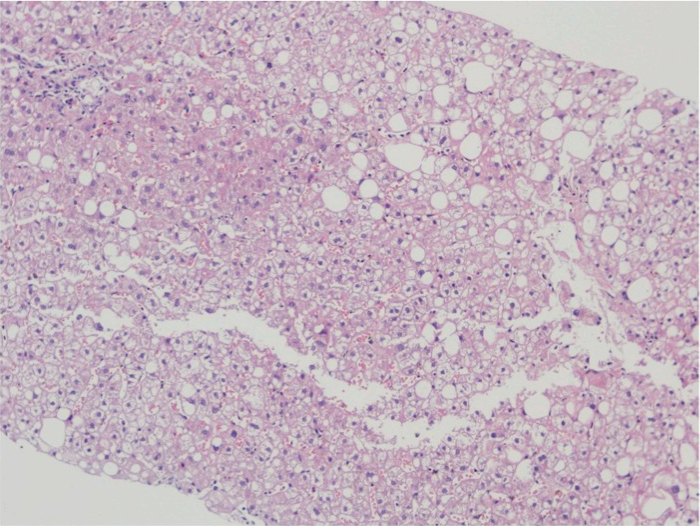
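This is liver tissue made of hepatocytes arranged in plates, with pale pink cytoplasm and round central purple nuclei. Scattered among them are many cells holding single large round clear vacuoles, larger than the nuclei, which push the cell contents aside. Smaller clear spaces are also present in some cells. A long slit-like gap crosses the middle of the tissue. The overall plate arrangement of the hepatocytes is preserved.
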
